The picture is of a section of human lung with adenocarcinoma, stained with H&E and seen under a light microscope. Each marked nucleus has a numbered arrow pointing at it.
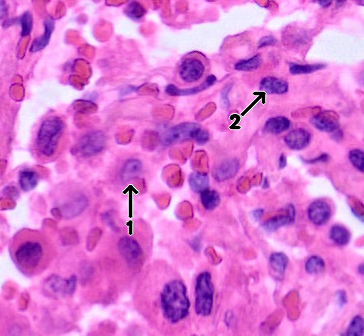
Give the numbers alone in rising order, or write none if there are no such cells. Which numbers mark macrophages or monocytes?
1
